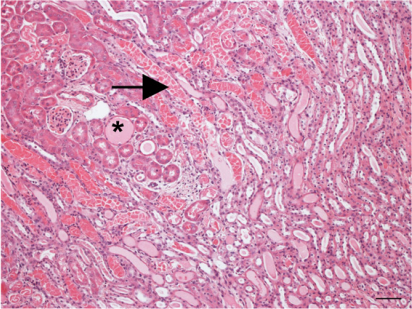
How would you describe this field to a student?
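Kidney tissue at the border of cortex and outer medulla with widespread tubular injury. Many tubules have lost their epithelial lining and are filled with homogeneous pale pink casts or with red material, while a few glomeruli remain near the upper left. Between the damaged tubules the interstitium holds scattered dark nuclei.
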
